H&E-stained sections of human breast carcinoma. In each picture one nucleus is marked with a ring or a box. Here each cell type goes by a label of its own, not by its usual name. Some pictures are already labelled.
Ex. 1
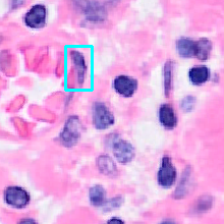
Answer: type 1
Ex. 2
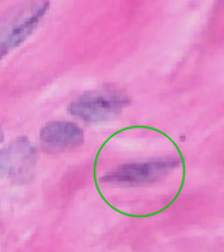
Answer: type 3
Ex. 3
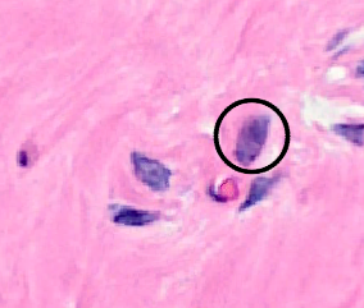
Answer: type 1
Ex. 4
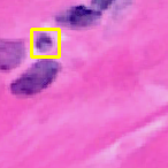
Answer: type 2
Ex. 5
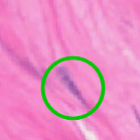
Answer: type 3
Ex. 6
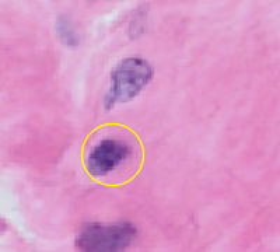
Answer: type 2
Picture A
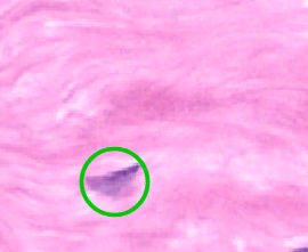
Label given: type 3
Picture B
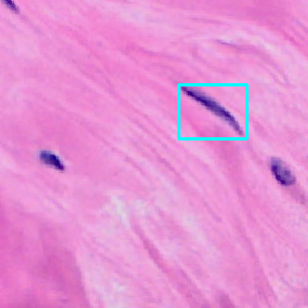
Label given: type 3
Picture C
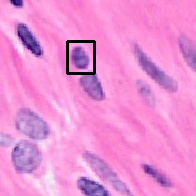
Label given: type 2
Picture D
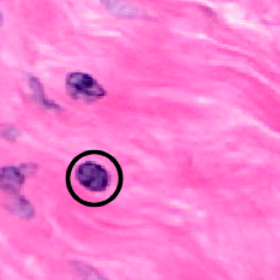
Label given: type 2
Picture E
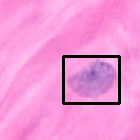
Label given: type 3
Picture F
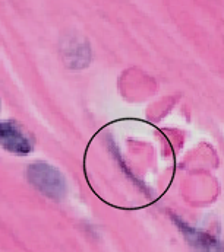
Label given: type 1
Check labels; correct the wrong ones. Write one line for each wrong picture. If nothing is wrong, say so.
None of the labels needs changing.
